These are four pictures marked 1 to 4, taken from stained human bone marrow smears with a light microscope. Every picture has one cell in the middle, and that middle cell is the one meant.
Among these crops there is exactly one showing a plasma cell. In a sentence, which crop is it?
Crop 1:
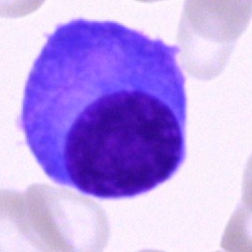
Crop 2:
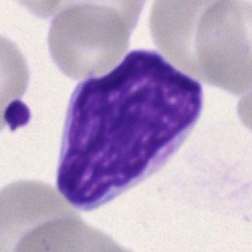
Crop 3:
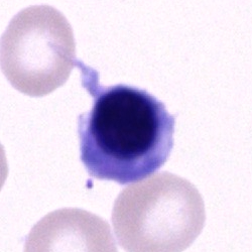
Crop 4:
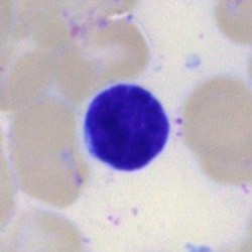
Crop 1 is the crop featuring a plasma cell at its center.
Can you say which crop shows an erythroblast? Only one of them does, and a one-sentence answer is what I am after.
Crop 3 matches the request, showing an erythroblast.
